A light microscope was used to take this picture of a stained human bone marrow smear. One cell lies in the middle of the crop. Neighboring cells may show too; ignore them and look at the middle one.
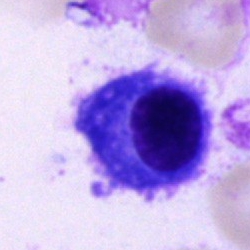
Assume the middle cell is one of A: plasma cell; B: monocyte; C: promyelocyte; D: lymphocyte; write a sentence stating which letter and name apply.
This one is option A, since the cell at the center is a plasma cell.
